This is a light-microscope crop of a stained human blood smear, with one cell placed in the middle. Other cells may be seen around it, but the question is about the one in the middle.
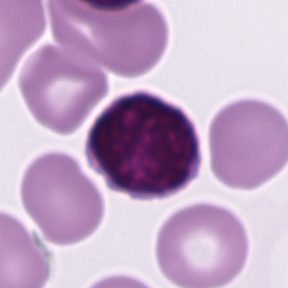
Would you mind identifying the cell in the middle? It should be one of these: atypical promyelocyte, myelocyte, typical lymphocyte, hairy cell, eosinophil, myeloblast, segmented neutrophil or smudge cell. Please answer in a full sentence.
The cell sitting right in the middle is a typical lymphocyte.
